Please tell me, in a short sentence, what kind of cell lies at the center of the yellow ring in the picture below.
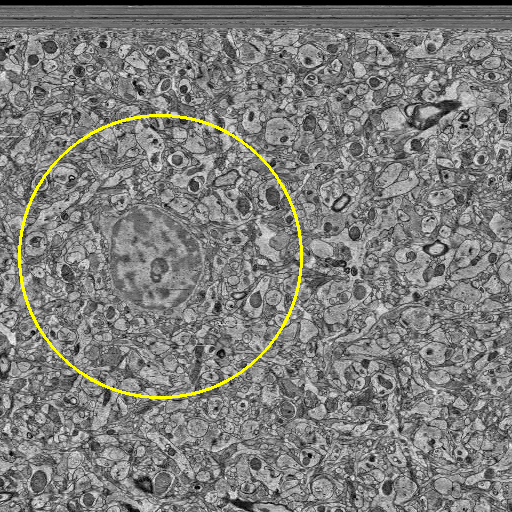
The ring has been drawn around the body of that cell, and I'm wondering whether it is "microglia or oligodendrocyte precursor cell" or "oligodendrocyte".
The cell at the center of the ring is an oligodendrocyte.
